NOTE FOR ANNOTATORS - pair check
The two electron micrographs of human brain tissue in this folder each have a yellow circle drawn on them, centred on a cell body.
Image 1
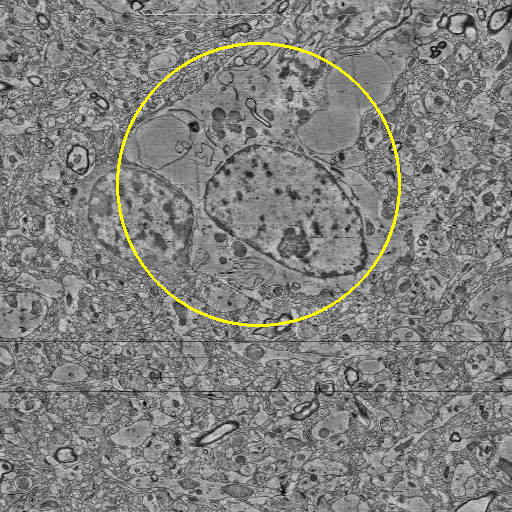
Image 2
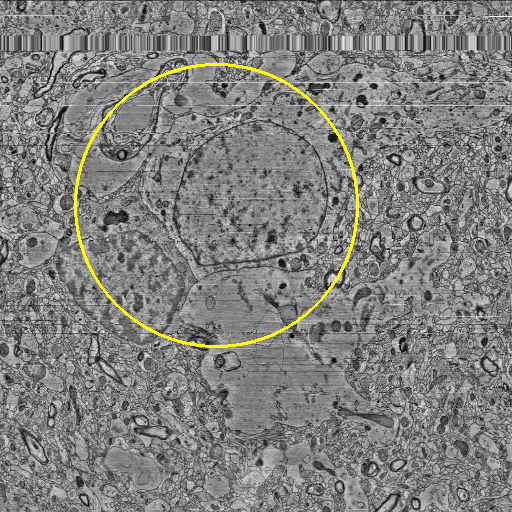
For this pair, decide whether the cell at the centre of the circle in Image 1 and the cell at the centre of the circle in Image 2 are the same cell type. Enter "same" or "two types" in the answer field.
two types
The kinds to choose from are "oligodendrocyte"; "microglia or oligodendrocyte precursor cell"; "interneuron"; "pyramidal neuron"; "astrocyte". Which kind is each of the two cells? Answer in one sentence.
Of the two, the first cell is an astrocyte and the second cell is a pyramidal neuron.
